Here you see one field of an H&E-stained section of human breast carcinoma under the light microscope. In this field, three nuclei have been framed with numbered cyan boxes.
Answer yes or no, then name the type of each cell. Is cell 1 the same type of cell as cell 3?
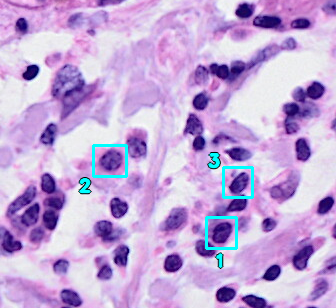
Yes, cells number 1 and number 3 are both lymphocytes.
